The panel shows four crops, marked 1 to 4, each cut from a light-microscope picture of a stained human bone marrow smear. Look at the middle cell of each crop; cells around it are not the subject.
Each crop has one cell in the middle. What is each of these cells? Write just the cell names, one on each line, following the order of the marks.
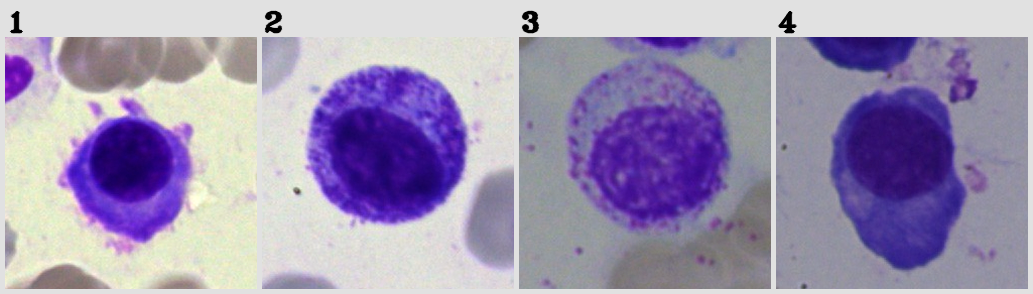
plasma cell
myelocyte
myelocyte
plasma cell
